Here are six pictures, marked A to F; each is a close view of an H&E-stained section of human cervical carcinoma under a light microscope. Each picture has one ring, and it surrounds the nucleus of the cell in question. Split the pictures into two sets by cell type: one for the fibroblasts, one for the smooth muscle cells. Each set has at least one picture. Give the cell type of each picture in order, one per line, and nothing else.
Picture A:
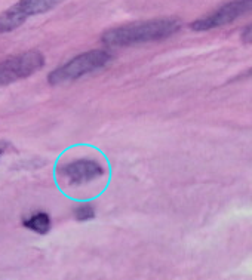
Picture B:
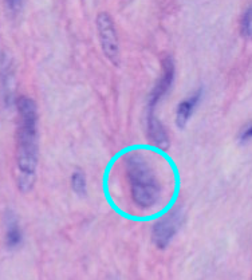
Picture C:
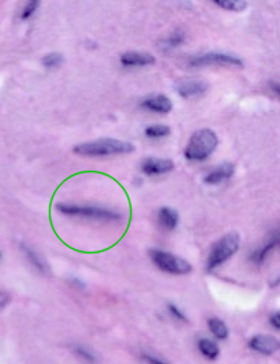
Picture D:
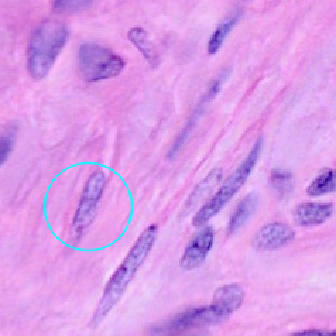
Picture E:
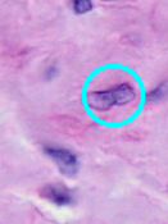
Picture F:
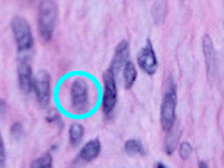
fibroblast
smooth muscle cell
fibroblast
smooth muscle cell
smooth muscle cell
smooth muscle cell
